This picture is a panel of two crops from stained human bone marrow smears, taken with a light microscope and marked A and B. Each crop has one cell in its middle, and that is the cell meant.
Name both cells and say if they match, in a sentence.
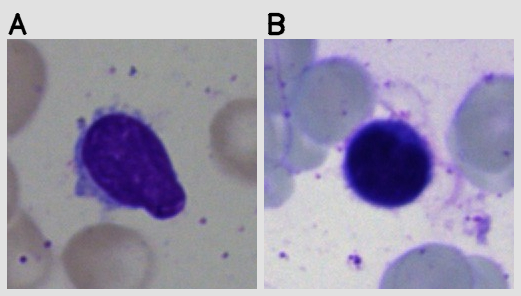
Yes, the reply for both crops is lymphocytes.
